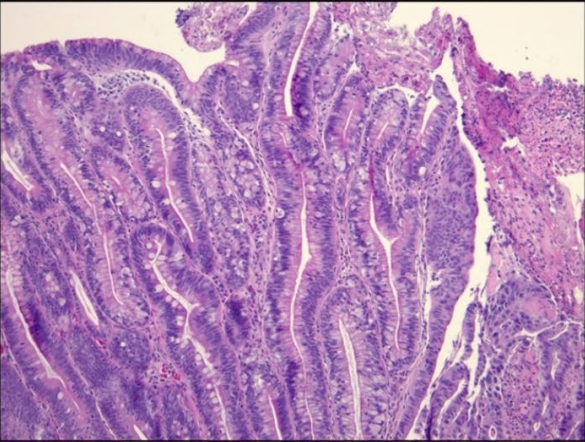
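This is columnar glandular mucosa with crowded, elongated, closely packed glands separated by little stroma. The lining cells have elongated, darkly staining nuclei that are crowded and stratified, reaching up from the base of the cells. Scattered among them are cells with clear, rounded vacuoles resembling goblet cells. The glandular architecture is irregular and more crowded than normal mucosa.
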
